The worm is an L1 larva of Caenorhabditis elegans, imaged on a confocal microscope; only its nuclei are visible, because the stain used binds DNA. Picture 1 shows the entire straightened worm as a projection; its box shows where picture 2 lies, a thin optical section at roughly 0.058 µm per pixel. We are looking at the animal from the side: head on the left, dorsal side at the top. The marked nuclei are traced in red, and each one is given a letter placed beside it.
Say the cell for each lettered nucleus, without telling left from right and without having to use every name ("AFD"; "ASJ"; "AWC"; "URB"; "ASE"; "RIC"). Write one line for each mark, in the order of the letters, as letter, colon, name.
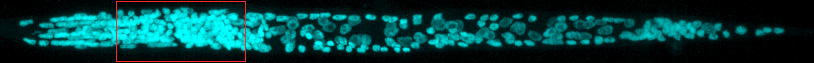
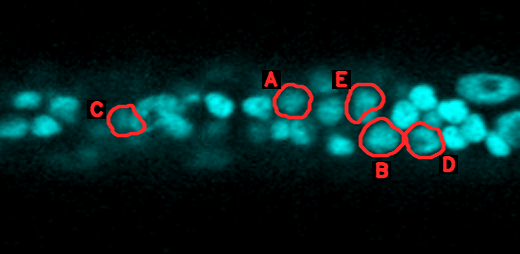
A: AFD
B: ASJ
C: URB
D: RIC
E: ASE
